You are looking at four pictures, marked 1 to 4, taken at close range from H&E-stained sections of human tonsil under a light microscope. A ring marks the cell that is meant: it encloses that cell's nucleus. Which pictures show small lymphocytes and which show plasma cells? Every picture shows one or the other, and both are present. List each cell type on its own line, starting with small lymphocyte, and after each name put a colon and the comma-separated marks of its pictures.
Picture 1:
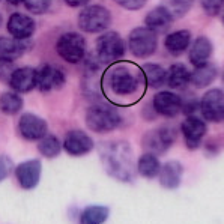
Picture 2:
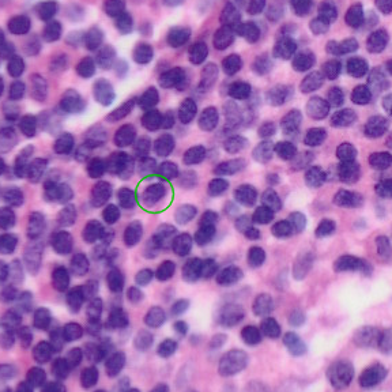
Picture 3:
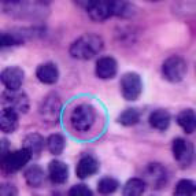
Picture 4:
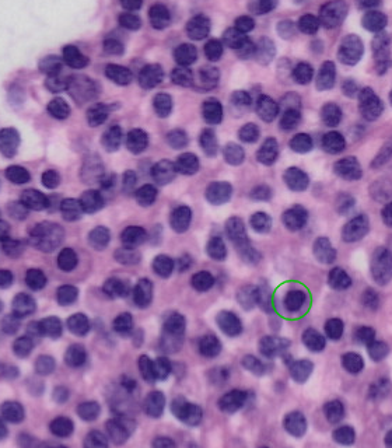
small lymphocyte: 1, 2
plasma cell: 3, 4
